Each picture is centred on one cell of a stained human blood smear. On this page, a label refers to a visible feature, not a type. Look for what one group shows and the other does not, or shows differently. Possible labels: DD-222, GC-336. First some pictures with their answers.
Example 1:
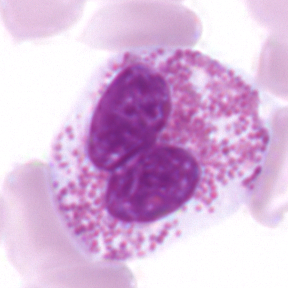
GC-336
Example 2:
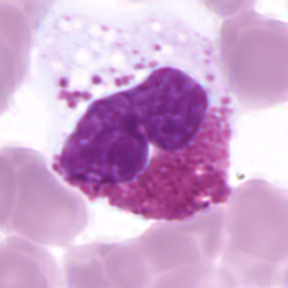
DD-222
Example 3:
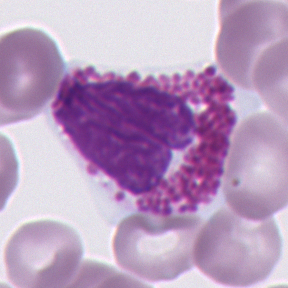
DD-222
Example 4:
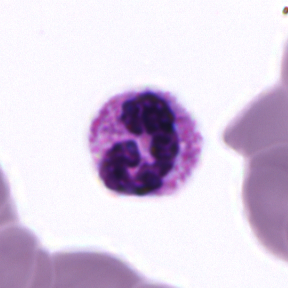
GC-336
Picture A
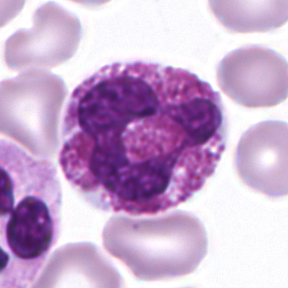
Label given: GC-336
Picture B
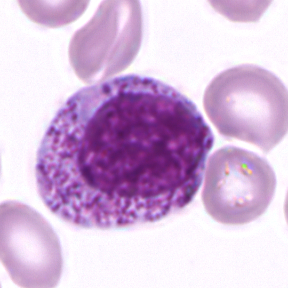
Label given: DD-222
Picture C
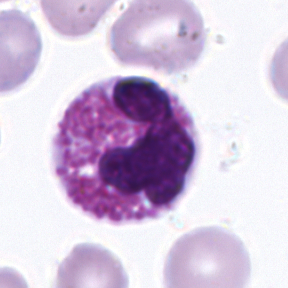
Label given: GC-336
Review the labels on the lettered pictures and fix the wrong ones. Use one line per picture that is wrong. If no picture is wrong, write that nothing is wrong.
A: change GC-336 to DD-222
C: change GC-336 to DD-222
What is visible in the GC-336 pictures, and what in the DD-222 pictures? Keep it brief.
GC-336, fine or small granules; DD-222, coarse or large granules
